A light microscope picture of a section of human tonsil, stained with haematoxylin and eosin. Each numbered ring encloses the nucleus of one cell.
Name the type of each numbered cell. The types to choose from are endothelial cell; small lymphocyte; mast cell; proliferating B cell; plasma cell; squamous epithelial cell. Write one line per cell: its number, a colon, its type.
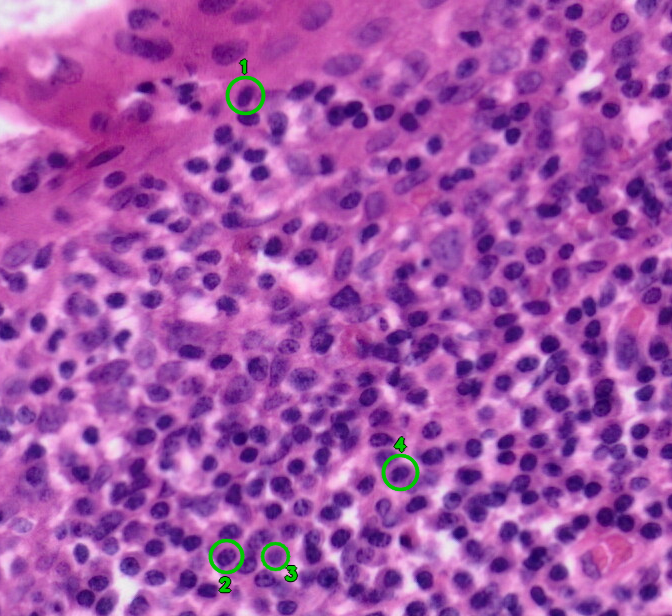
1: squamous epithelial cell
2: plasma cell
3: plasma cell
4: plasma cell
